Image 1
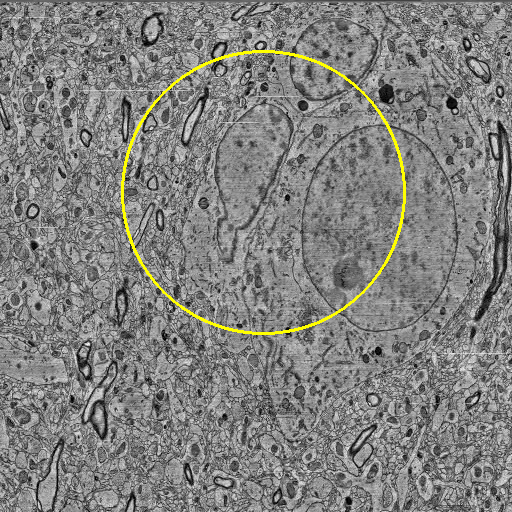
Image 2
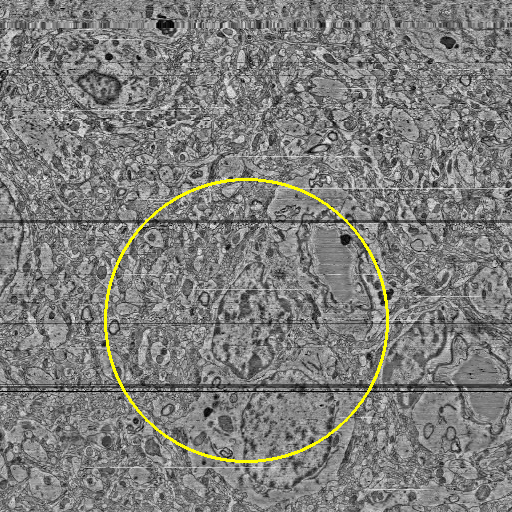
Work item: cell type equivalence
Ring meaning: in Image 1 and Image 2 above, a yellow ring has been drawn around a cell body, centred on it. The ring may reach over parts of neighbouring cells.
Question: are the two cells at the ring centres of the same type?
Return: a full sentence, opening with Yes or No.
Yes, the two centred cells are of the same type.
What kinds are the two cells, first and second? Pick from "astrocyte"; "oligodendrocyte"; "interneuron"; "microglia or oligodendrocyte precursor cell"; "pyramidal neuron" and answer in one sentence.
Both the first and the second picture show a microglial cell or oligodendrocyte precursor cell in the ring.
